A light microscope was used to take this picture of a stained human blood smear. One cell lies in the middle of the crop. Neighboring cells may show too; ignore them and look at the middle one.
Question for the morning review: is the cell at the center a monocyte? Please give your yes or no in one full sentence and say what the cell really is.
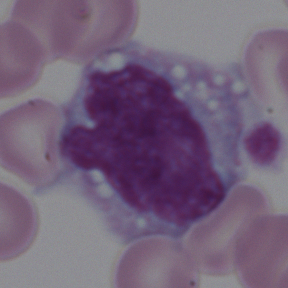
Yes, the cell in the center of the field is a monocyte.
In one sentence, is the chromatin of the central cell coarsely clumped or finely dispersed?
The chromatin is delicate and fine, lacking coarse clumping entirely.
